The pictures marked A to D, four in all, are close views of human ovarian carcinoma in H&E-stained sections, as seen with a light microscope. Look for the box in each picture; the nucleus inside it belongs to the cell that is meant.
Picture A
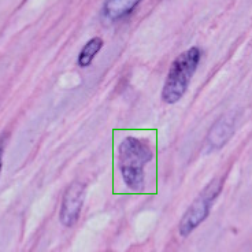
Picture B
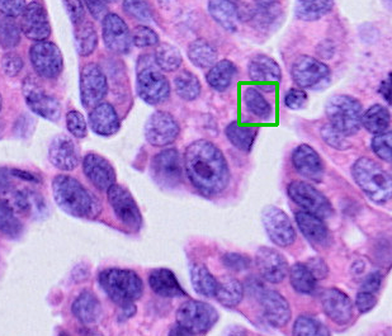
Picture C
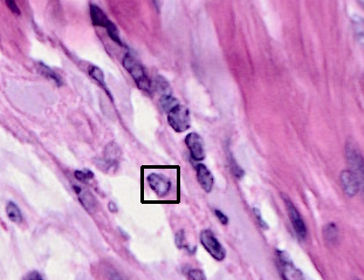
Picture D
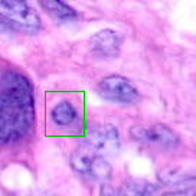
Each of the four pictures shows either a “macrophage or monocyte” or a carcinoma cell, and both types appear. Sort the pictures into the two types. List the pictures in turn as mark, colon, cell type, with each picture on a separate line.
A: macrophage or monocyte
B: carcinoma cell
C: macrophage or monocyte
D: macrophage or monocyte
